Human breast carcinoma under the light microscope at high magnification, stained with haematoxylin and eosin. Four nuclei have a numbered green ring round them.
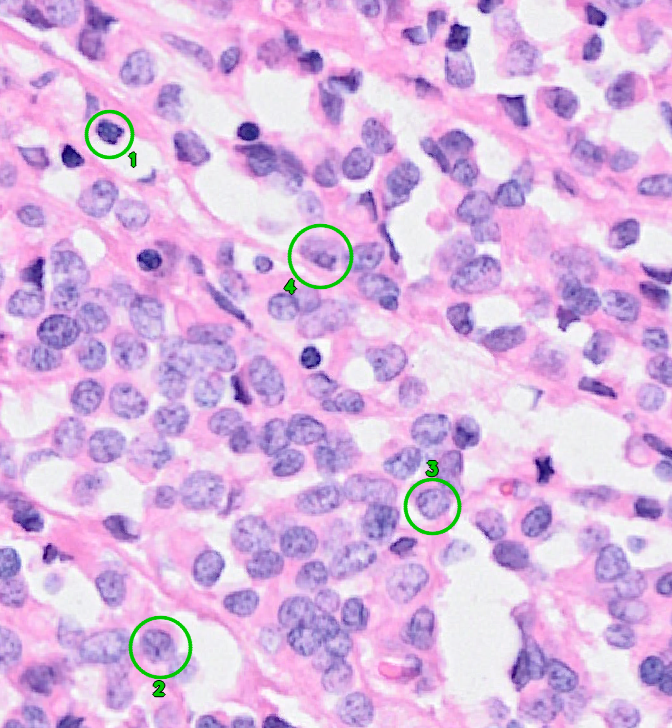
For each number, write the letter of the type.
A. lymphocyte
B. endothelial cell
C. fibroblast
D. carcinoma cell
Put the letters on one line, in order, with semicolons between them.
A; D; D; D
